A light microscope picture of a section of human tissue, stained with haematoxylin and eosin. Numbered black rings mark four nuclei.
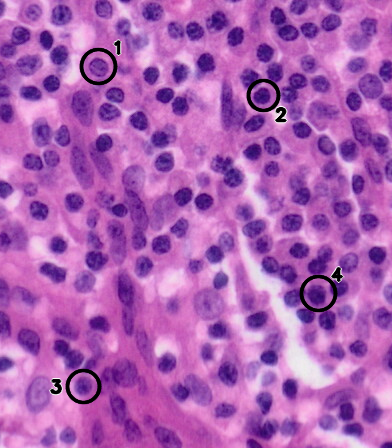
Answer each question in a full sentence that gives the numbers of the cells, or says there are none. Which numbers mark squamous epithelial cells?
There is just one numbered cell that is a squamous epithelial cell, and it is cell 3.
